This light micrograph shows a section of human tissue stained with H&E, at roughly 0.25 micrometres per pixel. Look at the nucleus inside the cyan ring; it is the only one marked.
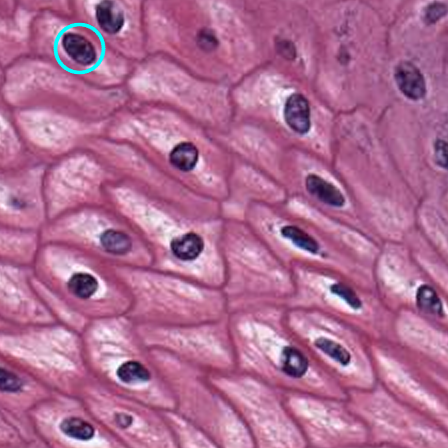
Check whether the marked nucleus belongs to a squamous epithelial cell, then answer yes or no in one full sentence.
Yes, the cell to which the marked nucleus belongs is a squamous epithelial cell.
